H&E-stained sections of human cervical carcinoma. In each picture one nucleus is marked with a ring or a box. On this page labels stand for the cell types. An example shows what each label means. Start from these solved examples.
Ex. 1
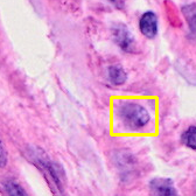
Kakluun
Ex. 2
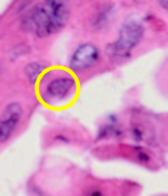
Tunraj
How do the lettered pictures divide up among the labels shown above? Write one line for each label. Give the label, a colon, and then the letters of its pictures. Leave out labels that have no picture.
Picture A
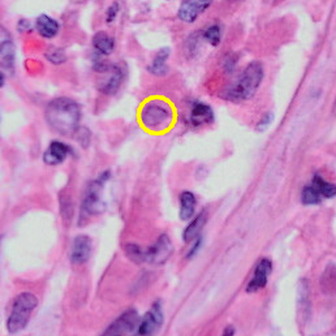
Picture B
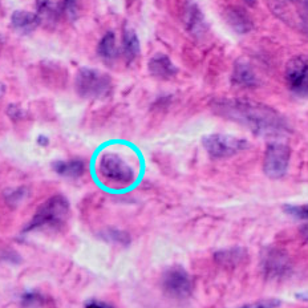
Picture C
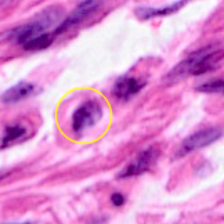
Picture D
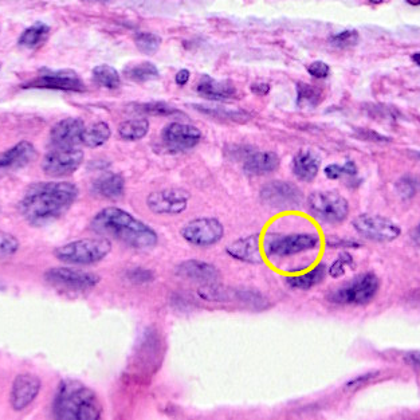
Kakluun: A, B, C
Tunraj: D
